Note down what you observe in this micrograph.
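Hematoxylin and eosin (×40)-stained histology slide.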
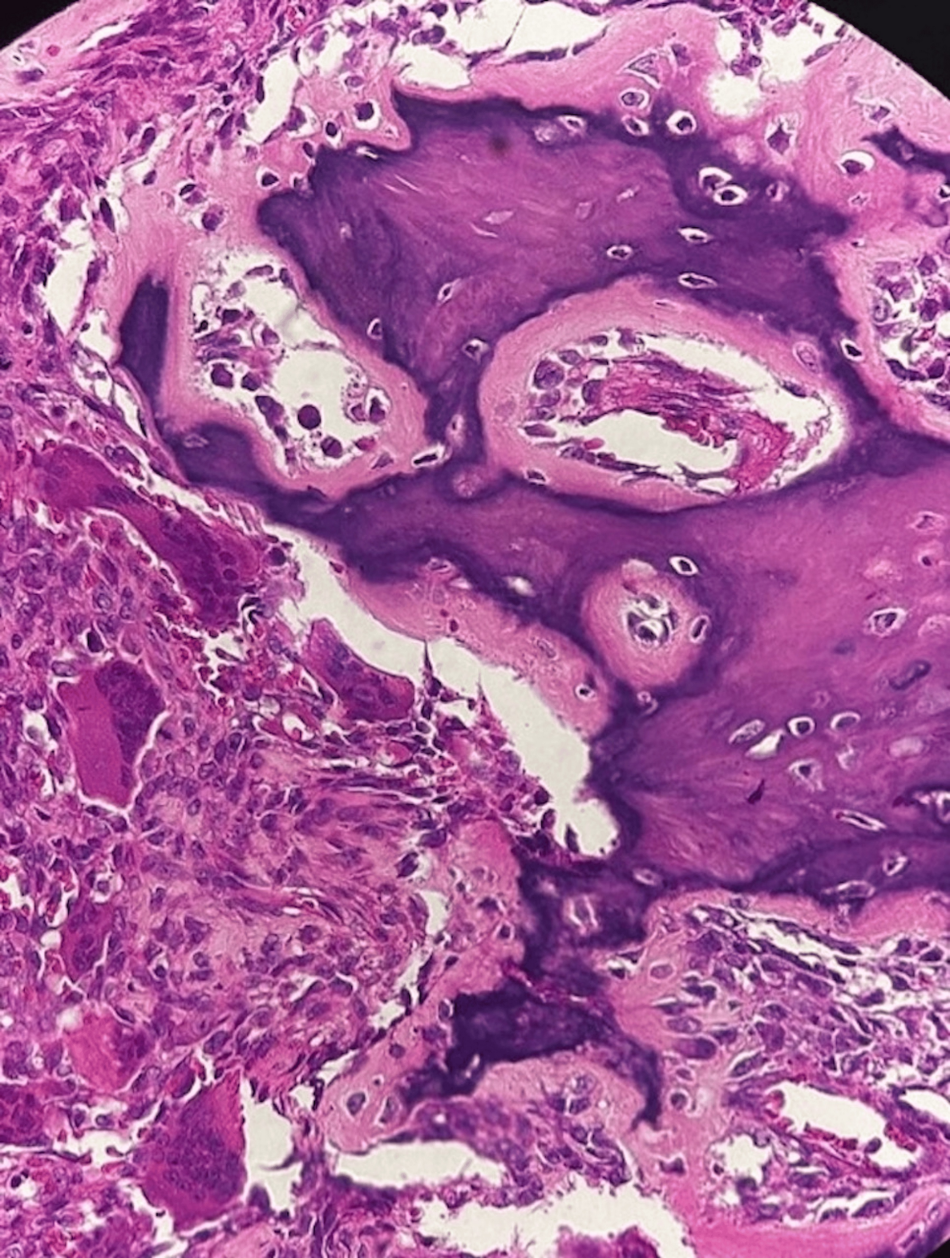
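On the left of this field, several large multinucleated giant cells with abundant deep pink cytoplasm hold clusters of many dark nuclei. They lie scattered in a dense cellular background of smaller spindle-shaped mononuclear stromal cells, each with a single oval to elongated purple nucleus. Across the right side runs a broad band of pink to purple matrix with small spaces holding single cells, and cellular tissue fills the gaps within and beside it.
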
